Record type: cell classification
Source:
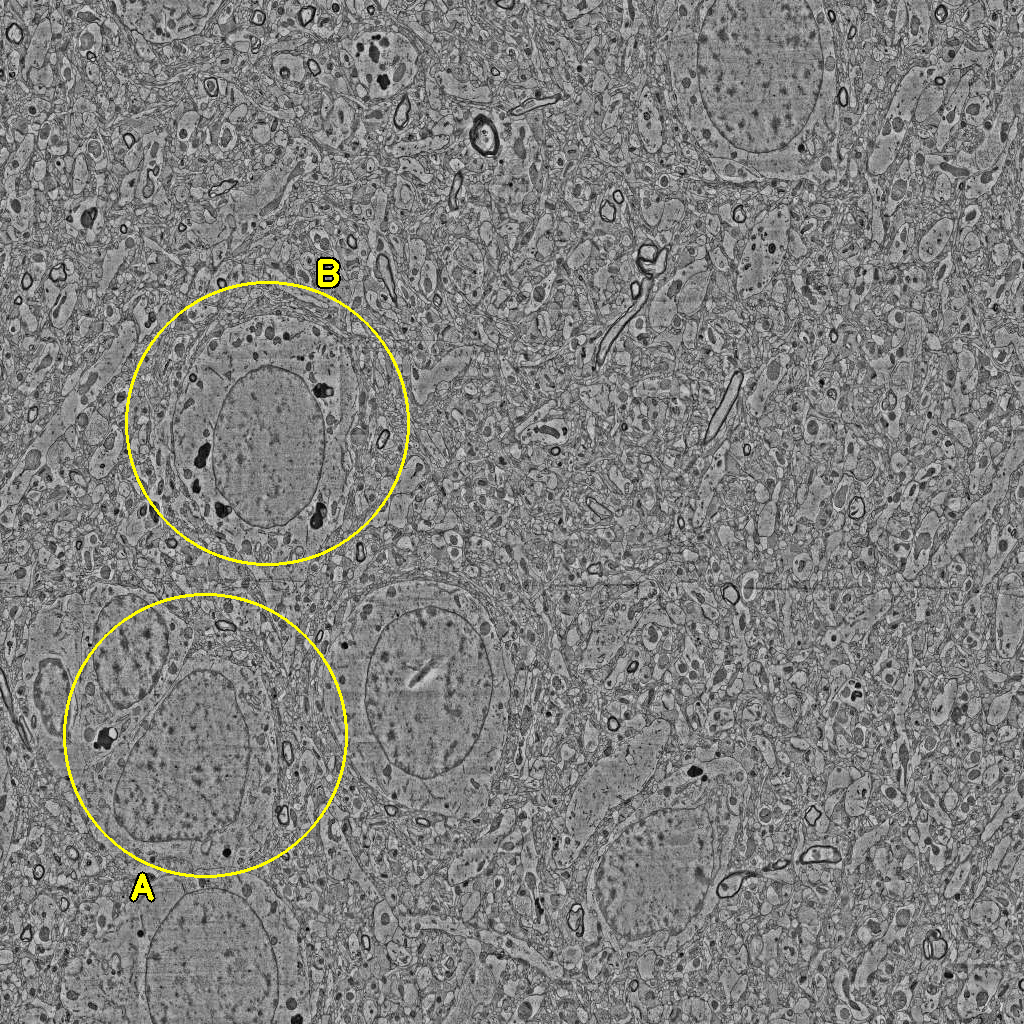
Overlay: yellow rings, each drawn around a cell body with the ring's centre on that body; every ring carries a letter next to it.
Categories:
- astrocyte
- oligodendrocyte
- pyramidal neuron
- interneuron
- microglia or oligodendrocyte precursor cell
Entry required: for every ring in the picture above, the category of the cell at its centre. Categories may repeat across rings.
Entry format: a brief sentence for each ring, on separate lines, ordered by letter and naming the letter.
At the centre of ring A lies an interneuron.
At the centre of ring B lies a pyramidal neuron.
